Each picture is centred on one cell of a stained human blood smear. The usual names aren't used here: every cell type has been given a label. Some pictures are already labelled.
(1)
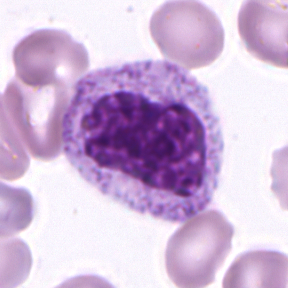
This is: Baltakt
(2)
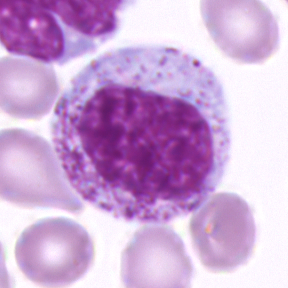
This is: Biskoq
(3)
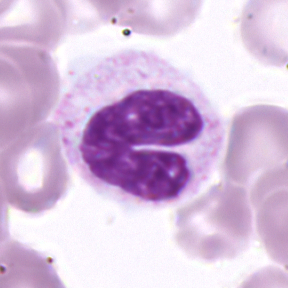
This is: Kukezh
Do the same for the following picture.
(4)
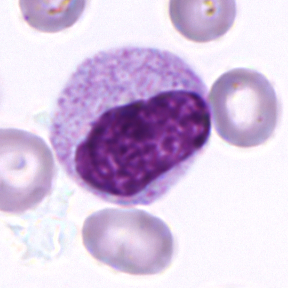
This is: Baltakt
